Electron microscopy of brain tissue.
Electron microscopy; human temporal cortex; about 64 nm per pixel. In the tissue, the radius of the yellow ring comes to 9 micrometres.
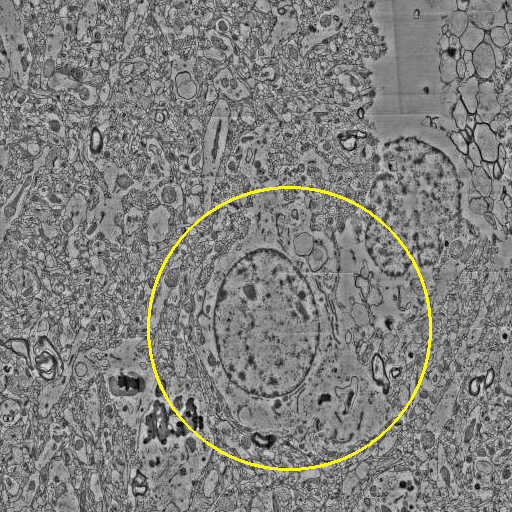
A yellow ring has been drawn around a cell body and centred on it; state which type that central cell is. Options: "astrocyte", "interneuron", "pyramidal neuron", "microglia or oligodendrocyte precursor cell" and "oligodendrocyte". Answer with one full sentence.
The cell at the middle of the yellow ring is an astrocyte in this picture.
